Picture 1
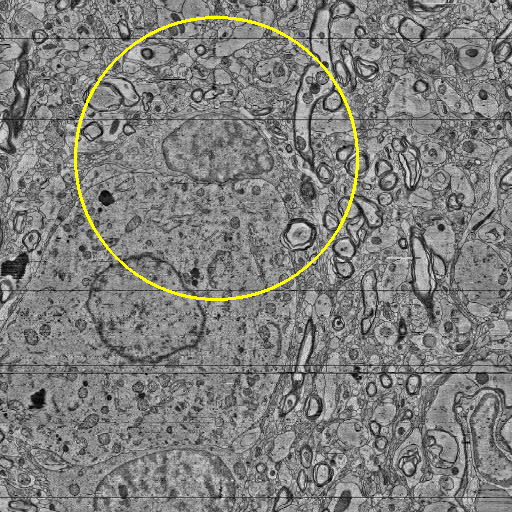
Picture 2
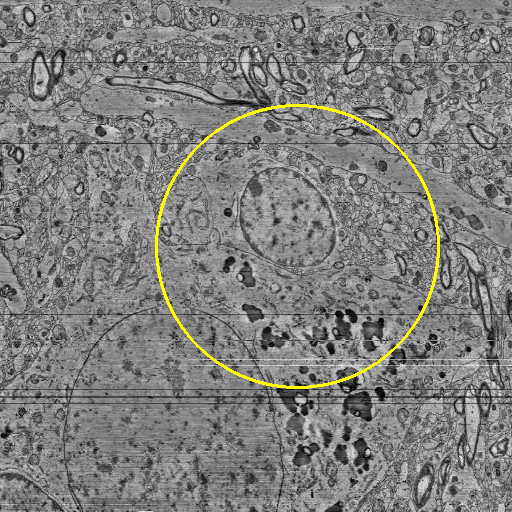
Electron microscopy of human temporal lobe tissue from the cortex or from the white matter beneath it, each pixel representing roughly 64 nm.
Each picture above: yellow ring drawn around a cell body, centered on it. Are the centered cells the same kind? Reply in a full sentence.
No, the two cells are two kinds of cell.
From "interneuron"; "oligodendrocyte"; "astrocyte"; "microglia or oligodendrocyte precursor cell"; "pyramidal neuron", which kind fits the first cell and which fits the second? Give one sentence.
The cell marked in the first picture is an oligodendrocyte, and the one marked in the second is a microglial cell or oligodendrocyte precursor cell.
